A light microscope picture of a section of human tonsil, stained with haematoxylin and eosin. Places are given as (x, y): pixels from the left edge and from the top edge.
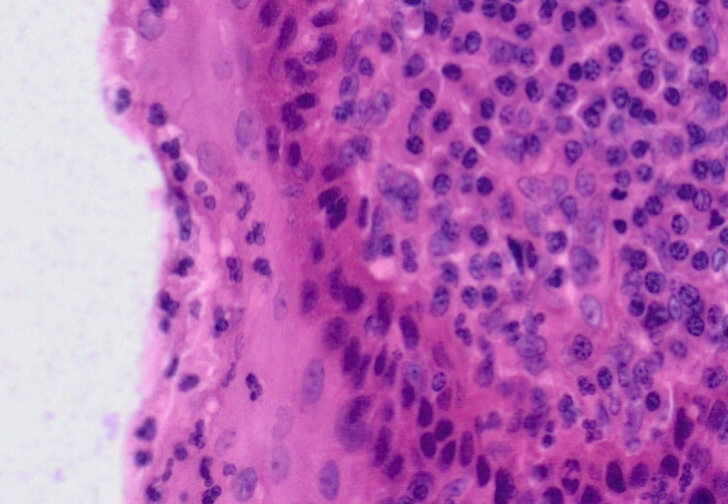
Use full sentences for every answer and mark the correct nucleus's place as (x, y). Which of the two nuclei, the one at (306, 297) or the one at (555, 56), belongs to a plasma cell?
As for which of the two, the nucleus at (555, 56) belongs to a plasma cell.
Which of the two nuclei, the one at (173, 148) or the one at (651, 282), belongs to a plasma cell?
The nucleus of a plasma cell is the one at (651, 282).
